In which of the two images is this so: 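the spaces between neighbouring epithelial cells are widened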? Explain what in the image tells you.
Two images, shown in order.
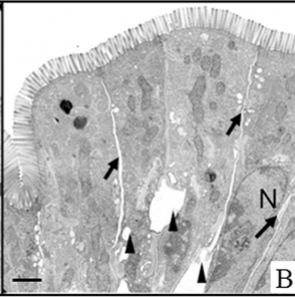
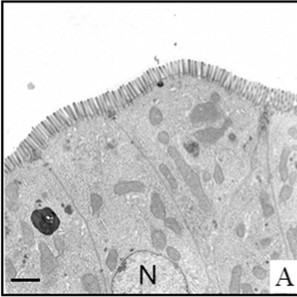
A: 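First image: pale, open clefts separate adjacent epithelial cells. Second image: adjacent epithelial cells lie closely apposed with only thin boundaries between them. That points to this answer: the first image.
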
